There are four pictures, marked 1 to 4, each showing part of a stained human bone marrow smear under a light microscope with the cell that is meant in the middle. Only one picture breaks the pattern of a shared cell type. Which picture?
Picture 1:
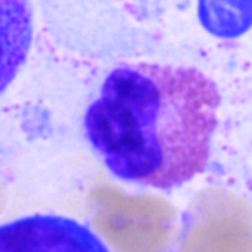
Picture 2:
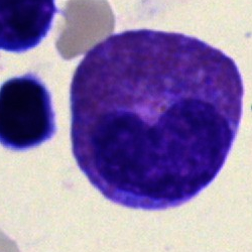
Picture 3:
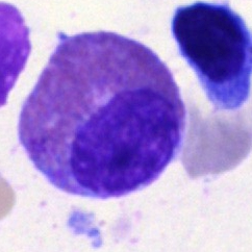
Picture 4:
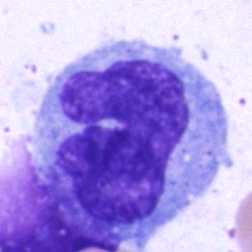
4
